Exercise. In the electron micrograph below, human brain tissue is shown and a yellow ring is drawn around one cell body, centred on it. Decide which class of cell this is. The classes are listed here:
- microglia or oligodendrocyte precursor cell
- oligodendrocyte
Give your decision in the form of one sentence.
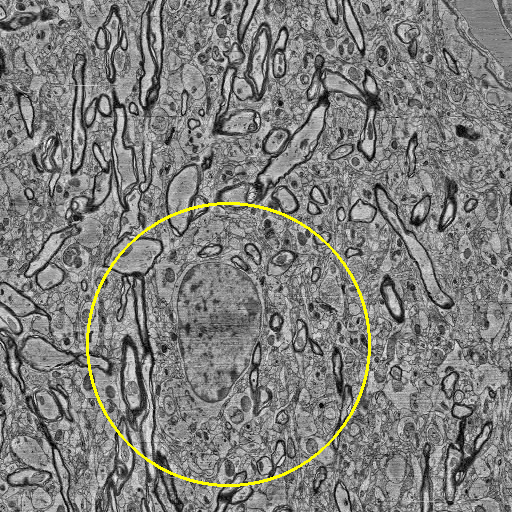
The cell body marked by the ring belongs to a microglial cell or oligodendrocyte precursor cell.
